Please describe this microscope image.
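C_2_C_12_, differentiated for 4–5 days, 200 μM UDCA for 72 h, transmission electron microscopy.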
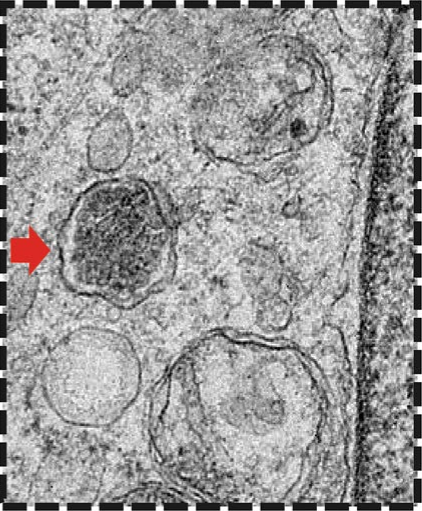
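Electron micrograph of myotube cytoplasm containing several round membrane-bound structures. One of them is enclosed by a double membrane and holds dense, dark granular content, while neighbouring vesicles are paler with sparse inner membranes. A dark band of cell border runs along the right edge.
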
